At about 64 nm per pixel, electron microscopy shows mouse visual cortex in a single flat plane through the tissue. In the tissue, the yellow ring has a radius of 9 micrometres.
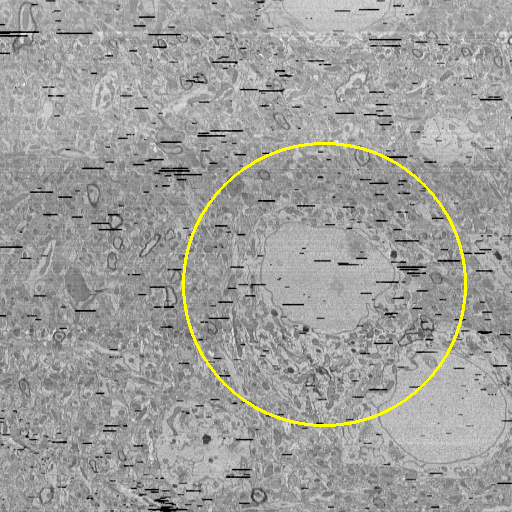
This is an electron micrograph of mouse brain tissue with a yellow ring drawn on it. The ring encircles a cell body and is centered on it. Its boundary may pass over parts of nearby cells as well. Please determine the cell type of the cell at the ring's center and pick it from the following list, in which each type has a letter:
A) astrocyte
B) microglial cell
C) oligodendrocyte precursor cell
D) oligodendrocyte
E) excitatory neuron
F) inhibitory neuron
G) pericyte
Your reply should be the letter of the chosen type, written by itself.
F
